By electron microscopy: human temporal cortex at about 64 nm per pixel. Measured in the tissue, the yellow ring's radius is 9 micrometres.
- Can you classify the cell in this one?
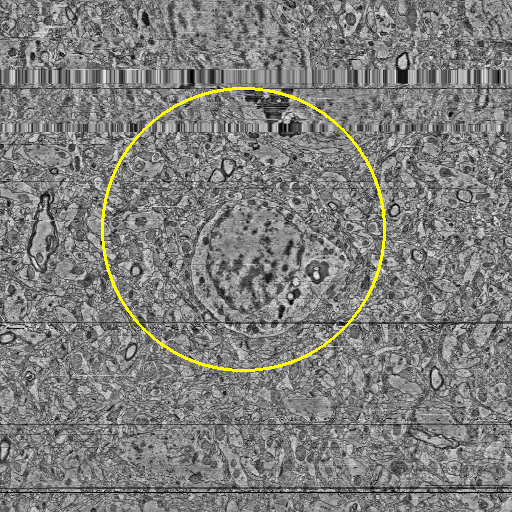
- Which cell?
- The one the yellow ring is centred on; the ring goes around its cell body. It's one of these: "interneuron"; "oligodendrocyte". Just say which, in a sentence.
The cell body in the ring belongs to an interneuron.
